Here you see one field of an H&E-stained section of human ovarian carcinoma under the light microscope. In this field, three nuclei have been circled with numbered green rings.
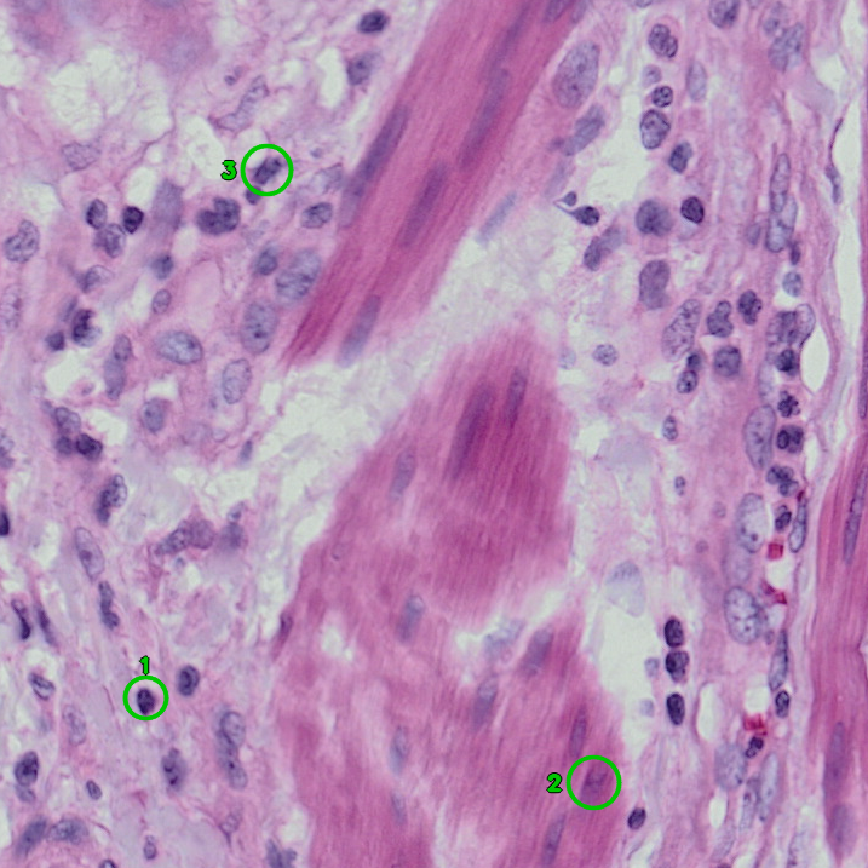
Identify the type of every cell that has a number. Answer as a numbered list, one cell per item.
1. lymphocyte
2. smooth muscle cell
3. lymphocyte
